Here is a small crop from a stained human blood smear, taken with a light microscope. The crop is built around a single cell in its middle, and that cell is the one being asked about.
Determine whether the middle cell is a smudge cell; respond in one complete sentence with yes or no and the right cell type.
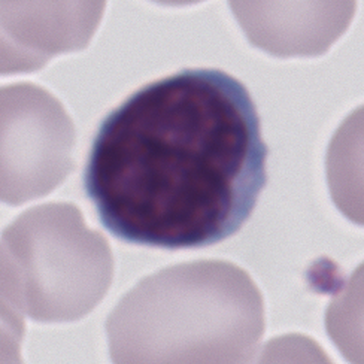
No, the cell under consideration is a typical lymphocyte instead of a smudge cell.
